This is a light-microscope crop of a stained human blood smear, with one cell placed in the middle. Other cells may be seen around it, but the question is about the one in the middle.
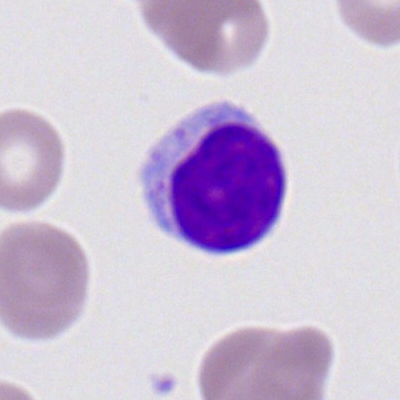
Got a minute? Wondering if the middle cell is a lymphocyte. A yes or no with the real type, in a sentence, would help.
Yes, the cell that lies centrally is a lymphocyte.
